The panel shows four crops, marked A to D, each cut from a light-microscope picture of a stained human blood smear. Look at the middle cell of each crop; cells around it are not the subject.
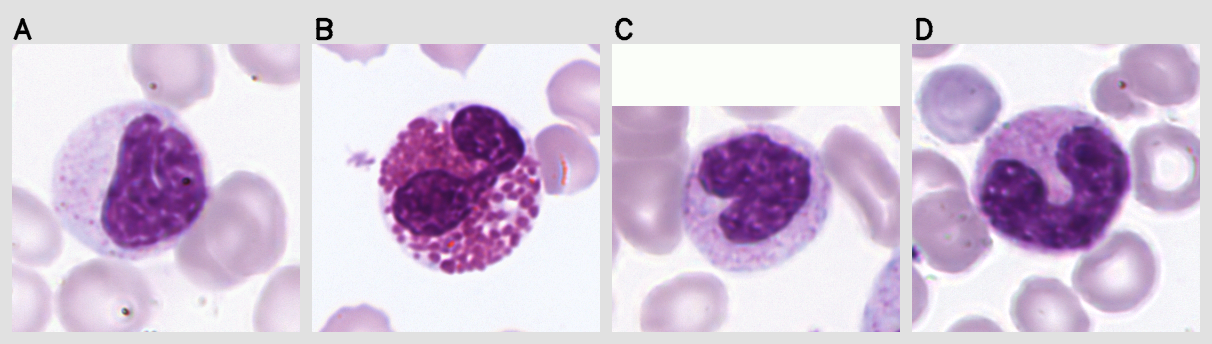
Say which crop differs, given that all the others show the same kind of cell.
B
